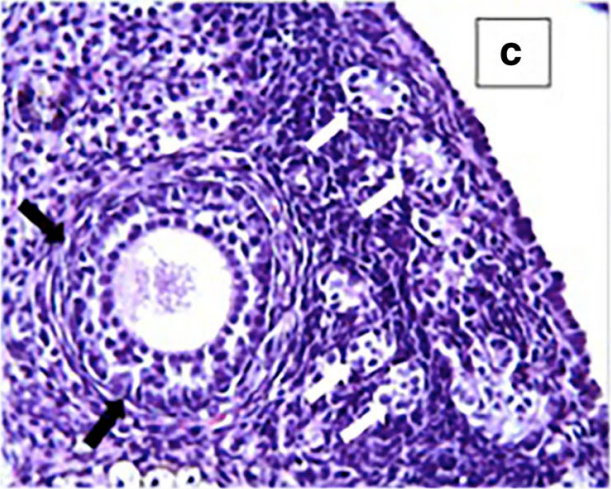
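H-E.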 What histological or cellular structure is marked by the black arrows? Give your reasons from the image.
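A large oocyte with a pale cytoplasm is surrounded by several layers of cuboidal cells. A thin outer layer of flattened cells encircles the follicle. No cavity is seen among the surrounding cells. So: multilaminary primary follicles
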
